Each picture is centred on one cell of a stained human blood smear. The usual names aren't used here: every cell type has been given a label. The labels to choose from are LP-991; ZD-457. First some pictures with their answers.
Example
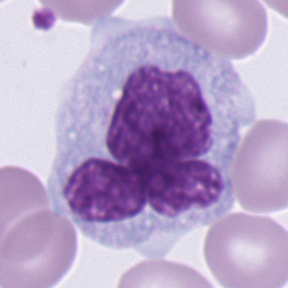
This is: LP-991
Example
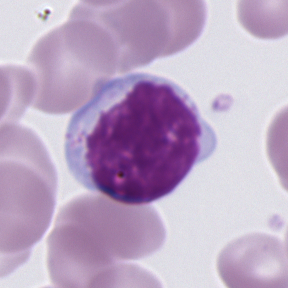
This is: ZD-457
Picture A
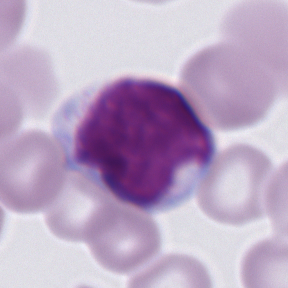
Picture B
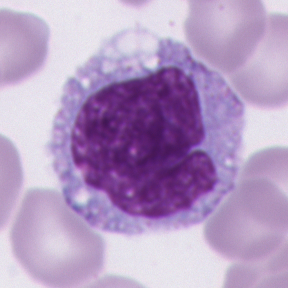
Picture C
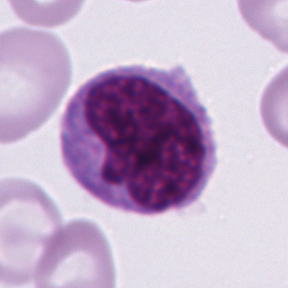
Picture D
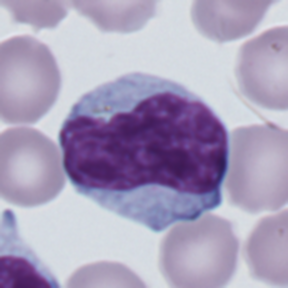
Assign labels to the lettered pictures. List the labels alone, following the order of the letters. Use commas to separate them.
ZD-457, LP-991, LP-991, LP-991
